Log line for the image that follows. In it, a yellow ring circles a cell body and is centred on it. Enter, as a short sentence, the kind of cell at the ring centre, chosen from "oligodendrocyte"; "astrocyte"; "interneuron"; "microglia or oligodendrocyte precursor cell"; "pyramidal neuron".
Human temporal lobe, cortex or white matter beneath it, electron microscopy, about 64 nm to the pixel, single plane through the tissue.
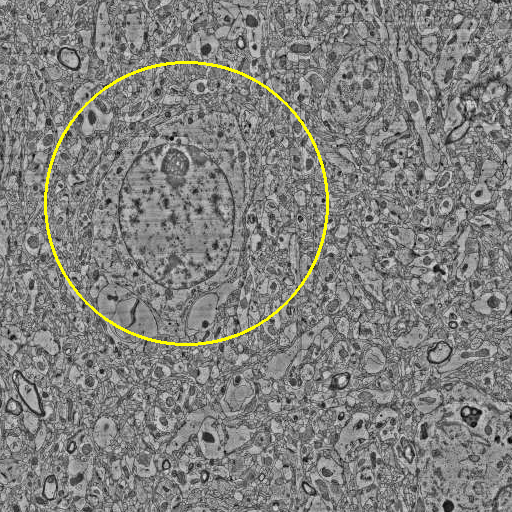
The ring centre is occupied by a pyramidal neuron.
